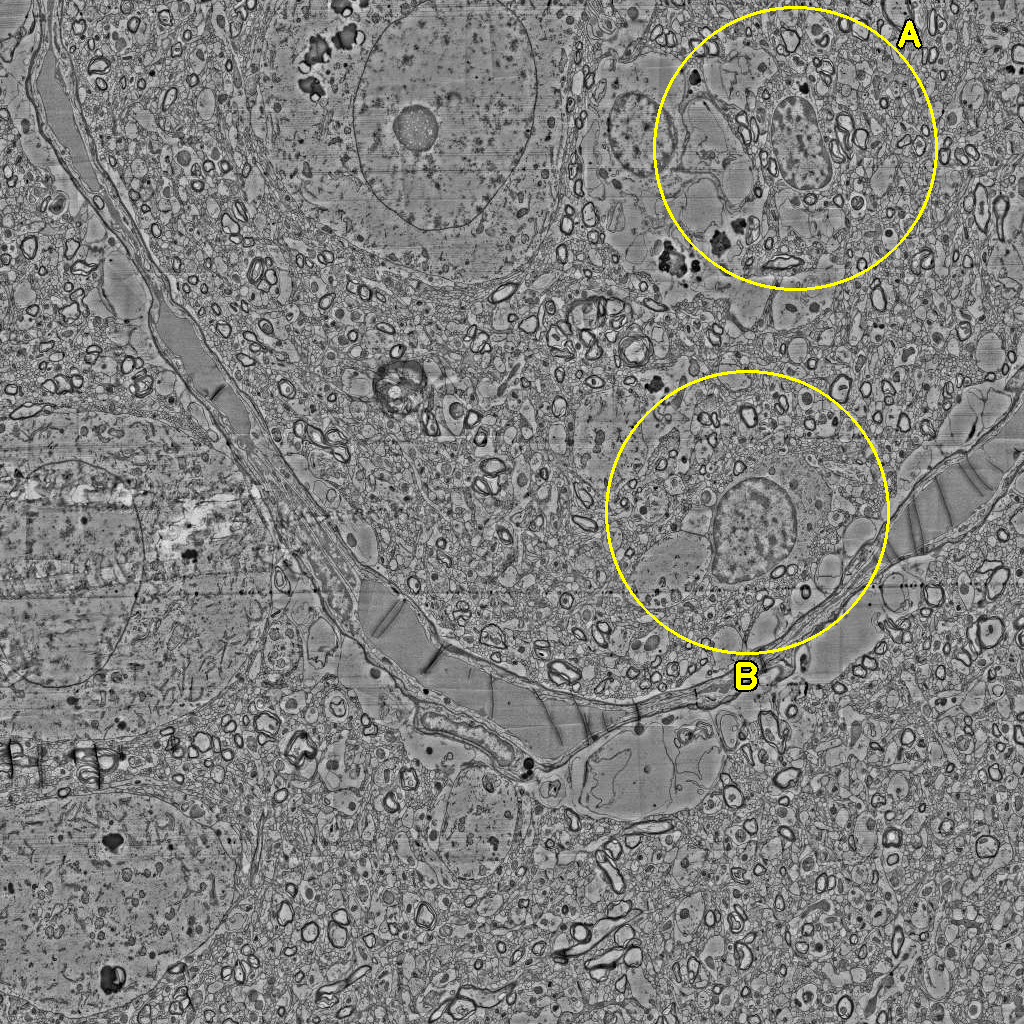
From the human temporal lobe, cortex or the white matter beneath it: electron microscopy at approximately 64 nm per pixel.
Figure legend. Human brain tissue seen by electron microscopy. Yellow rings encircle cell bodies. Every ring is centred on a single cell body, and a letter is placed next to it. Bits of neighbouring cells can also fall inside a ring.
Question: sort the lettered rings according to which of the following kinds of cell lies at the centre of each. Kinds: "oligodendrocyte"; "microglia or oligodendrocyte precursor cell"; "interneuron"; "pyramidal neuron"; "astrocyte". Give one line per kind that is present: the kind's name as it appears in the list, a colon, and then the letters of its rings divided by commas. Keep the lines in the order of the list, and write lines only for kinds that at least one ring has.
oligodendrocyte: B
microglia or oligodendrocyte precursor cell: A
